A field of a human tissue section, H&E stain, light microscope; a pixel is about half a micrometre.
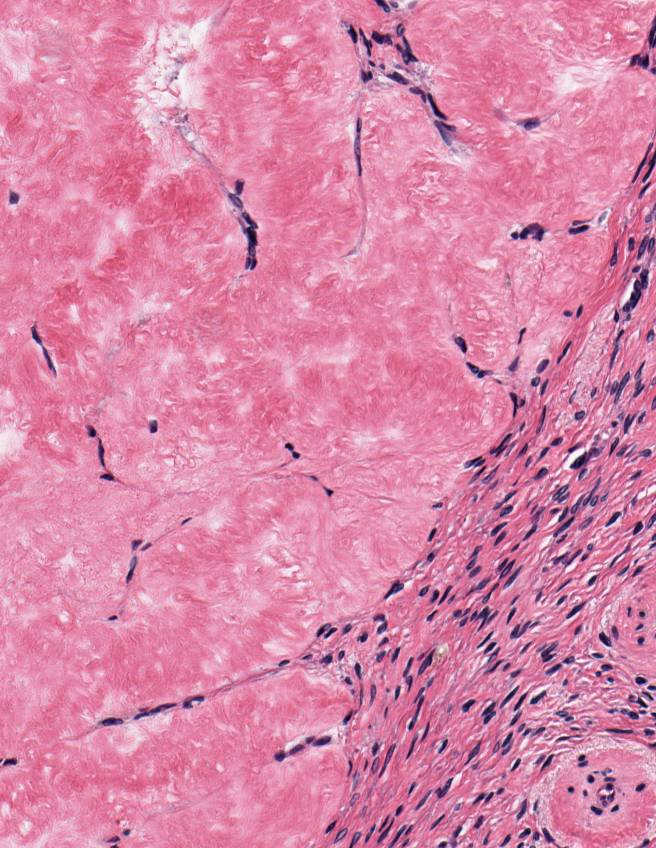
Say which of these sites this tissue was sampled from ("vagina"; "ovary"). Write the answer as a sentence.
The site this tissue was sampled from is the ovary.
